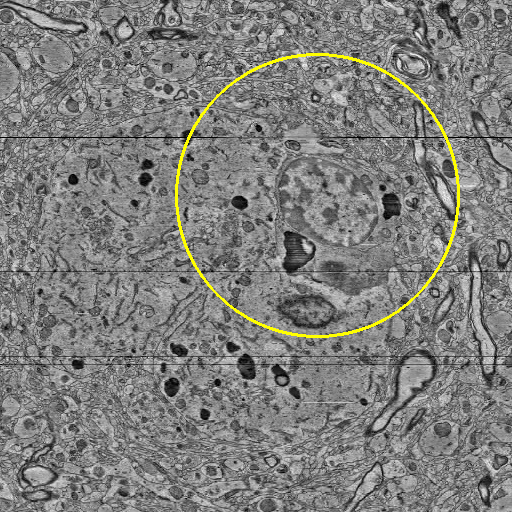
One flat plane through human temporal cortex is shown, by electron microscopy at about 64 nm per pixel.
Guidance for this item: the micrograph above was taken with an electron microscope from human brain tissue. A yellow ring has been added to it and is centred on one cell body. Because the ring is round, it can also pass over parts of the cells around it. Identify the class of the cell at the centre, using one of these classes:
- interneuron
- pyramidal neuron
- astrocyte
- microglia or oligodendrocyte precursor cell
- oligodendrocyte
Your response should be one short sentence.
The ring surrounds the body of an oligodendrocyte.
